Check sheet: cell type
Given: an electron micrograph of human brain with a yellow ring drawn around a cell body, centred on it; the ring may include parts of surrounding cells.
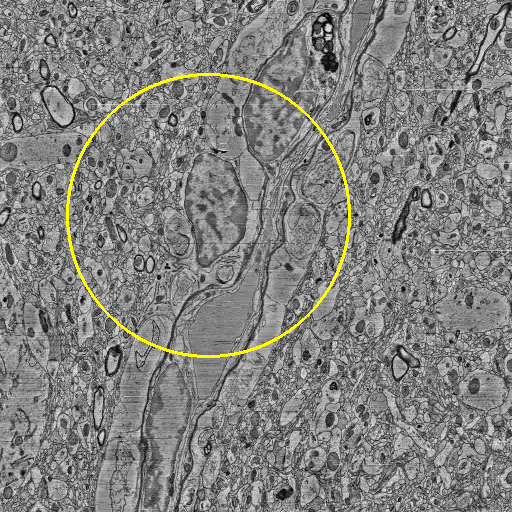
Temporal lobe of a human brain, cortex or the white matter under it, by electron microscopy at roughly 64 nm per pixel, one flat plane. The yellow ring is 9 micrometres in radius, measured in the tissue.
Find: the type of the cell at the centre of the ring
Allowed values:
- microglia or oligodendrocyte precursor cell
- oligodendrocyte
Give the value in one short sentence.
Here the ringed cell is a microglial cell or oligodendrocyte precursor cell.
